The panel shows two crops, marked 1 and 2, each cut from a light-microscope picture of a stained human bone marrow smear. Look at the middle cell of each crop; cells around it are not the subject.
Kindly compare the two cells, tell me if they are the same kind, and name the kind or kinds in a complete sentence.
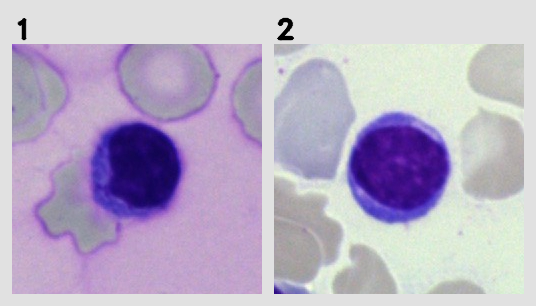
Yes, the cells placed at the centre of both crops are lymphocytes.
